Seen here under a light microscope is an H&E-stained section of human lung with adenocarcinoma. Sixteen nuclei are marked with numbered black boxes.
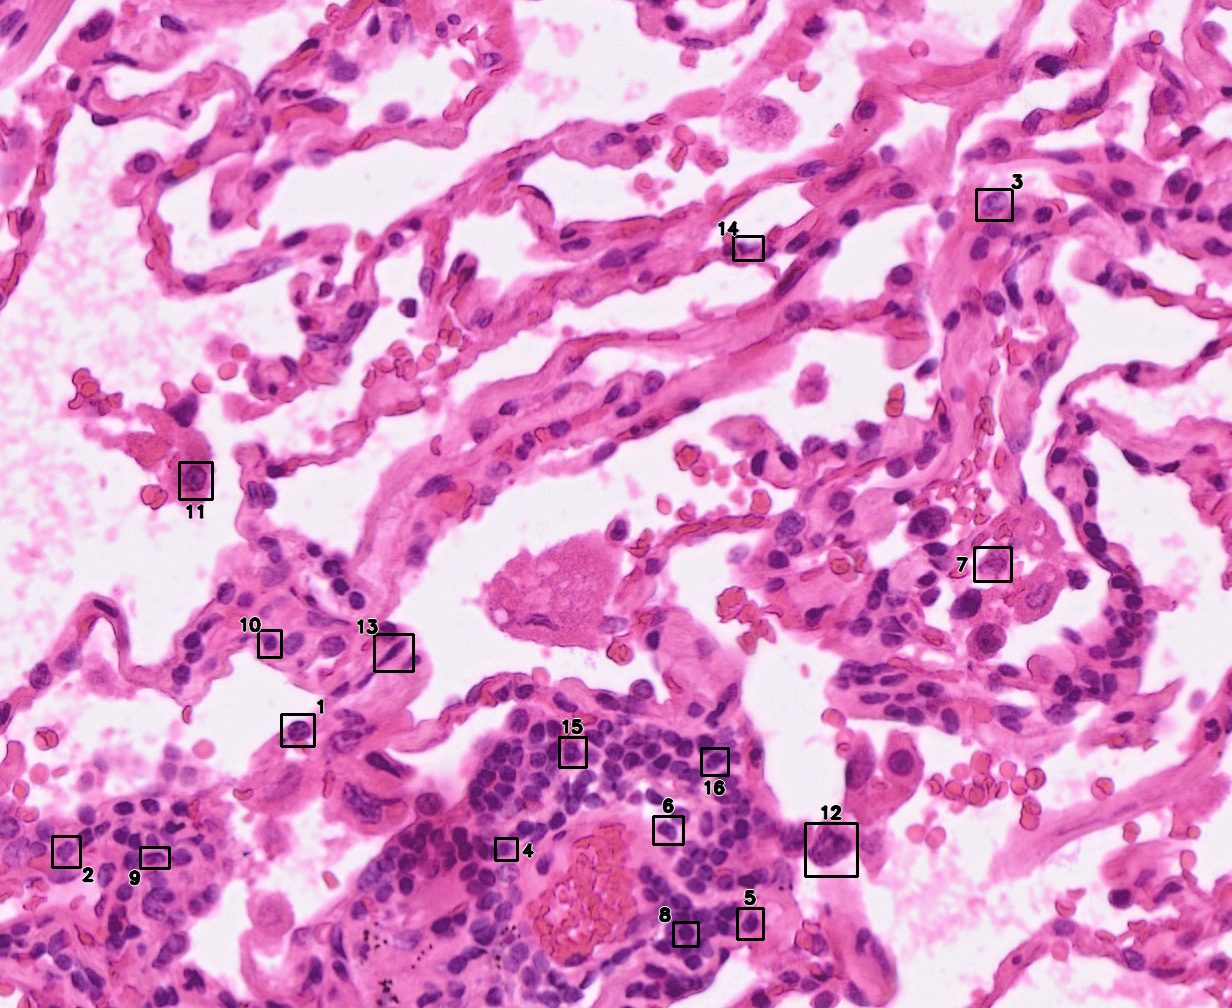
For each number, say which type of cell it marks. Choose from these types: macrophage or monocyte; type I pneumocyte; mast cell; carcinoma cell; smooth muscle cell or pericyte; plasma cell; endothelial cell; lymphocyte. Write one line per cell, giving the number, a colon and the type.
1: type I pneumocyte
2: lymphocyte
3: type I pneumocyte
4: lymphocyte
5: lymphocyte
6: lymphocyte
7: macrophage or monocyte
8: lymphocyte
9: lymphocyte
10: lymphocyte
11: macrophage or monocyte
12: carcinoma cell
13: endothelial cell
14: type I pneumocyte
15: lymphocyte
16: lymphocyte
